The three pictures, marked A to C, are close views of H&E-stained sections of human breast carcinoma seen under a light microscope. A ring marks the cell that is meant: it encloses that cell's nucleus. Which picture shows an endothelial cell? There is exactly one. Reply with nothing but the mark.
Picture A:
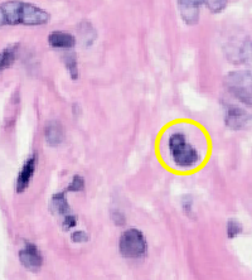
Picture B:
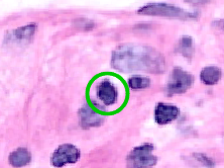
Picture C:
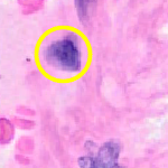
C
